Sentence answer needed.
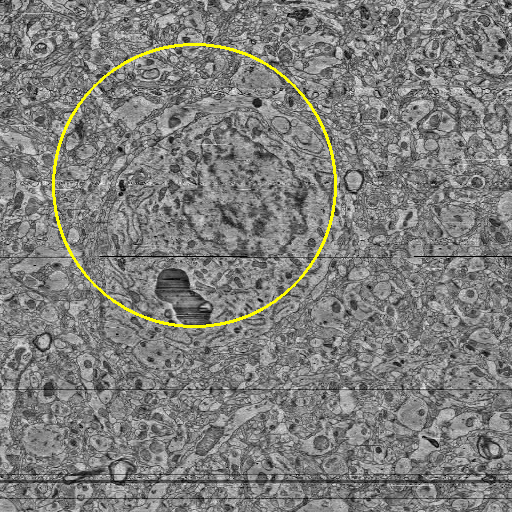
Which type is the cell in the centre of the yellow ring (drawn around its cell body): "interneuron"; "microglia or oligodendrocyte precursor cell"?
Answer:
In the centre of the yellow ring is an interneuron.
